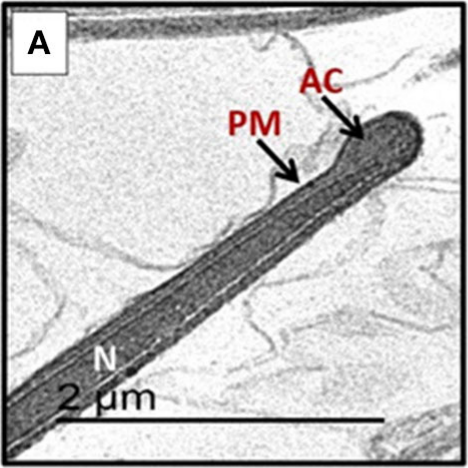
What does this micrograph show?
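This electron micrograph shows the head of a spermatozoon cut lengthwise, seen as a long, narrow, dark rod with a rounded tip. Most of the head is filled by the nucleus, whose chromatin is tightly packed and evenly dark throughout. Over the front end lies a cap that hugs the tip of the nucleus. The surrounding background is pale with faint membranous debris.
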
